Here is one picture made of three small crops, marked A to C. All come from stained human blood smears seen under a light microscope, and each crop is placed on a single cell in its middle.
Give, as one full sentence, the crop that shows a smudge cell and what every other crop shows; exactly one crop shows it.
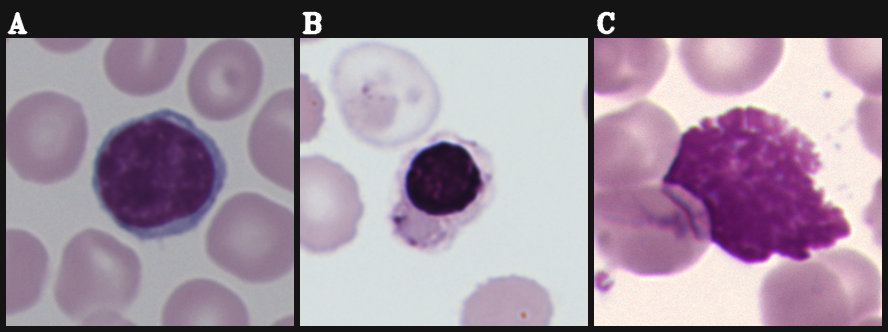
In crop C the cell shown is a smudge cell, and crop A is a typical lymphocyte and crop B is an erythroblast.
